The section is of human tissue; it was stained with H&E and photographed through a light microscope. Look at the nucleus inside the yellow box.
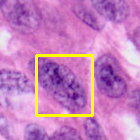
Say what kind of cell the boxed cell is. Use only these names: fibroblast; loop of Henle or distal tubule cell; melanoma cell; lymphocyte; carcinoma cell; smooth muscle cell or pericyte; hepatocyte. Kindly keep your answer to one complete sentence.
Right, so the boxed cell is a melanoma cell, to answer that.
